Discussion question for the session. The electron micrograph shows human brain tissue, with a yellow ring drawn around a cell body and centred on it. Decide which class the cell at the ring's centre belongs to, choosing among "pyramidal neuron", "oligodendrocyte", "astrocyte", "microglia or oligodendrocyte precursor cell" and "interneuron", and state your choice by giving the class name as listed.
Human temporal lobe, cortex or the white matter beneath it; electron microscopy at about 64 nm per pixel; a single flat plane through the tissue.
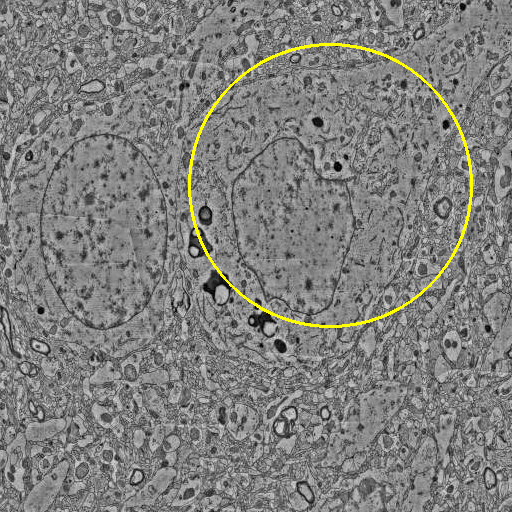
pyramidal neuron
